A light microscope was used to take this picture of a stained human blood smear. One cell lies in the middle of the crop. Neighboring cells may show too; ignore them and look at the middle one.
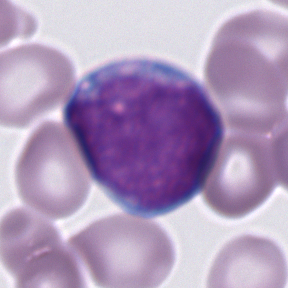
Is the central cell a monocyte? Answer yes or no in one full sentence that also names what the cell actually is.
No, instead of being a monocyte, the middle cell is a myeloblast.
